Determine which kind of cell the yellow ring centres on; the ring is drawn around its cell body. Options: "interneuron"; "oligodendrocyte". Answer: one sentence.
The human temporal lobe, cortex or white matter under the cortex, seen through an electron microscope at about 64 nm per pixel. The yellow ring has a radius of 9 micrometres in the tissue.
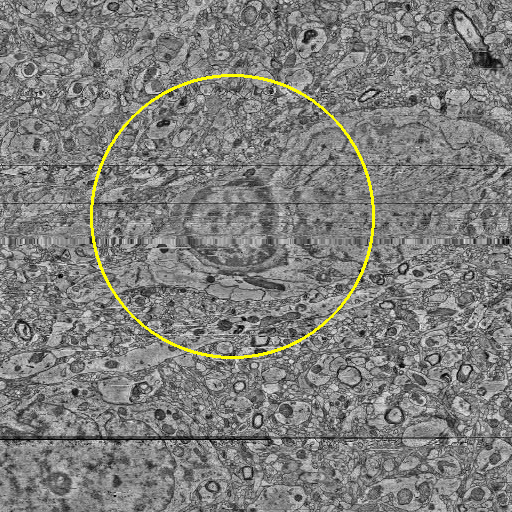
The ring centres on an oligodendrocyte.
